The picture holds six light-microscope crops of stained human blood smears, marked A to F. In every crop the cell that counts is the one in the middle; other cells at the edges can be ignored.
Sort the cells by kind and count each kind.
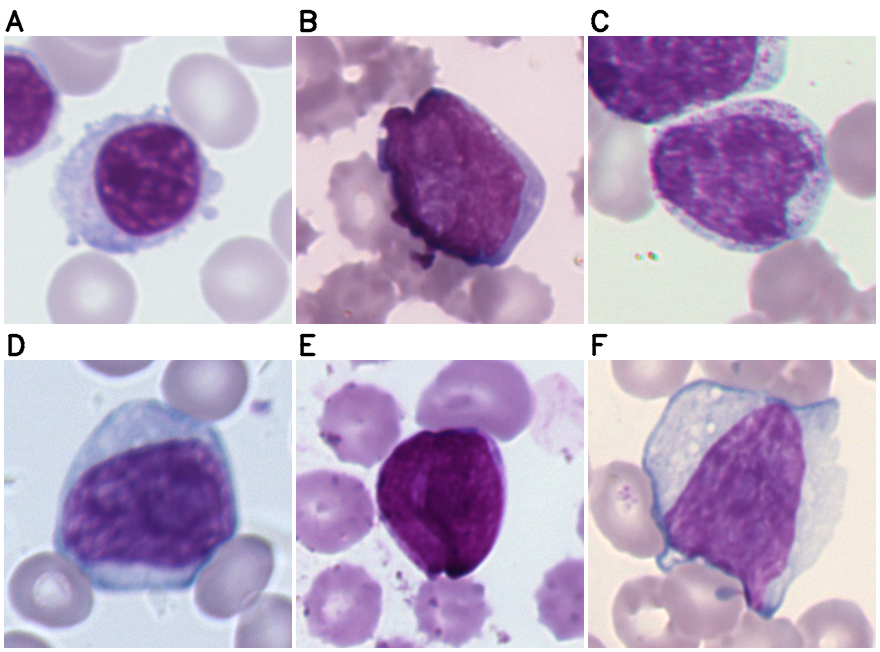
blast: 4
lymphocyte: 1
myelocyte: 1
